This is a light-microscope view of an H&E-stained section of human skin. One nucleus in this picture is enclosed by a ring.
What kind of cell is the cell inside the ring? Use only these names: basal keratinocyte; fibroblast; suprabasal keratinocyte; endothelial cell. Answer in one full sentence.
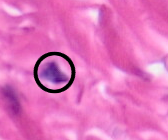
Placed in its cell category, the cell inside the ring is a fibroblast.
